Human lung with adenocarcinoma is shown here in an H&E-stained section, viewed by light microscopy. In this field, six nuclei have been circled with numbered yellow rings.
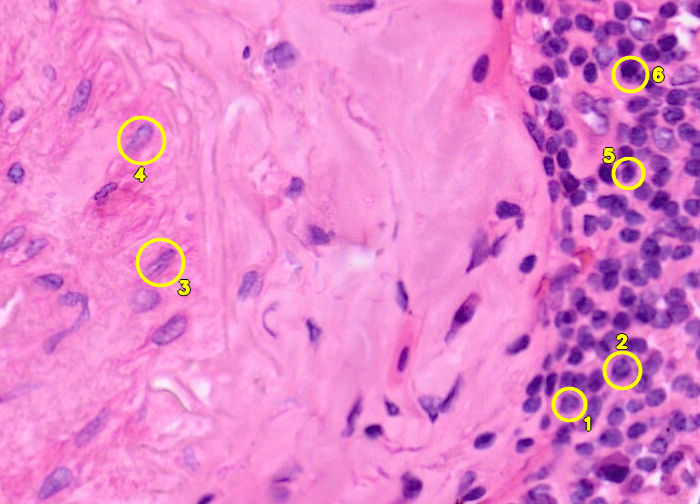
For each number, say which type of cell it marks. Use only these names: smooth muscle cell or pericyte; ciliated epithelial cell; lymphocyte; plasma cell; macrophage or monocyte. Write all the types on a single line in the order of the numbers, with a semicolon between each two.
lymphocyte; lymphocyte; smooth muscle cell or pericyte; smooth muscle cell or pericyte; lymphocyte; lymphocyte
